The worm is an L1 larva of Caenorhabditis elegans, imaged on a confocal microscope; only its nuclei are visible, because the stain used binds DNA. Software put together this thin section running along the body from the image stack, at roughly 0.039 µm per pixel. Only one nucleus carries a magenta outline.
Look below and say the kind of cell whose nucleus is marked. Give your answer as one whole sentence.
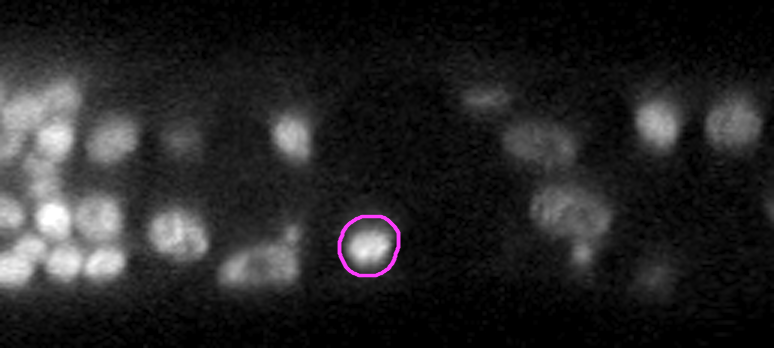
This is the nucleus of a glial cell (sheath or socket).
